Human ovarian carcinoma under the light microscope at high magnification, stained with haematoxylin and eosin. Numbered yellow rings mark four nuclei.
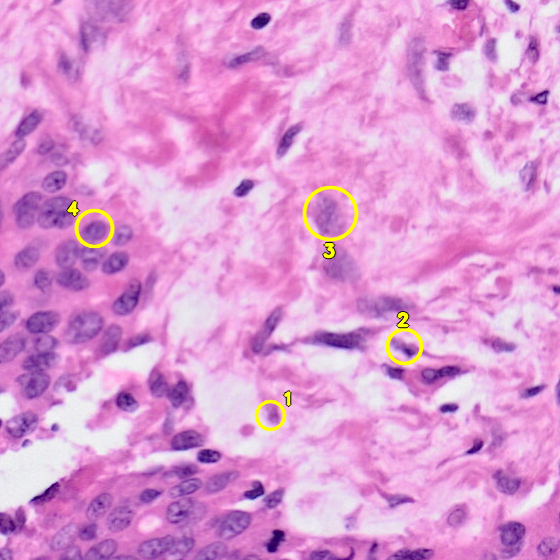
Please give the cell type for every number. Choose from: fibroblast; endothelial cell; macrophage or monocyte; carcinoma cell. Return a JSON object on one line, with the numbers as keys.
{"1": "fibroblast", "2": "fibroblast", "3": "fibroblast", "4": "carcinoma cell"}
